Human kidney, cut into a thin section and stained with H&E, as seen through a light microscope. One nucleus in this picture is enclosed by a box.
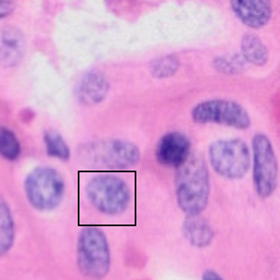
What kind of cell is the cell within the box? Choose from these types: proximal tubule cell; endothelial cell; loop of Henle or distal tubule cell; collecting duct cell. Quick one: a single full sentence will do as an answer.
So far as cell type goes, the cell within the box is a collecting duct cell.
